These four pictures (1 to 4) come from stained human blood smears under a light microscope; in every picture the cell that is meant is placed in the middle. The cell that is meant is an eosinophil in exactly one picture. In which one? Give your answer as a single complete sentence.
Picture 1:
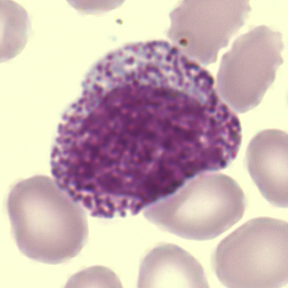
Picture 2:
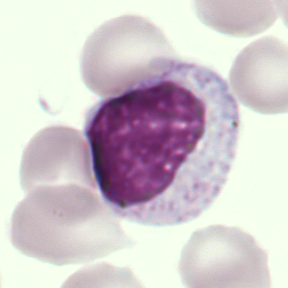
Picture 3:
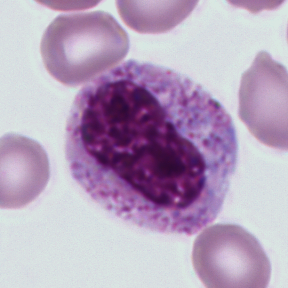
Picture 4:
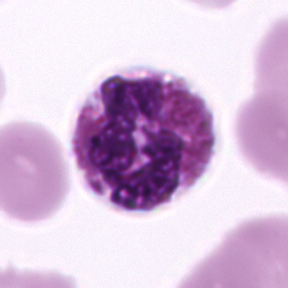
The cell in picture 4 is the eosinophil.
